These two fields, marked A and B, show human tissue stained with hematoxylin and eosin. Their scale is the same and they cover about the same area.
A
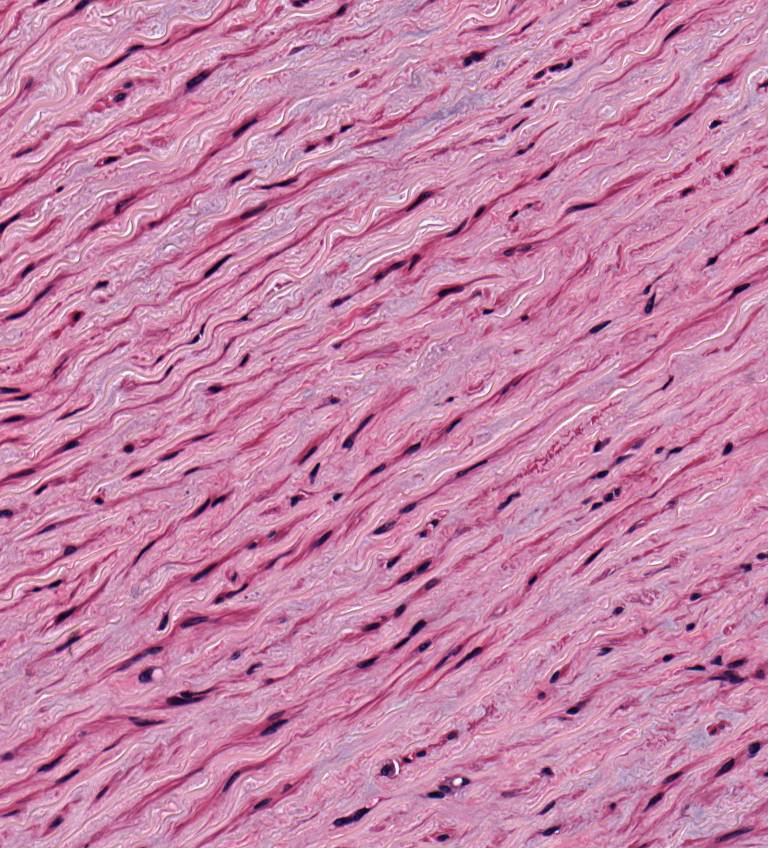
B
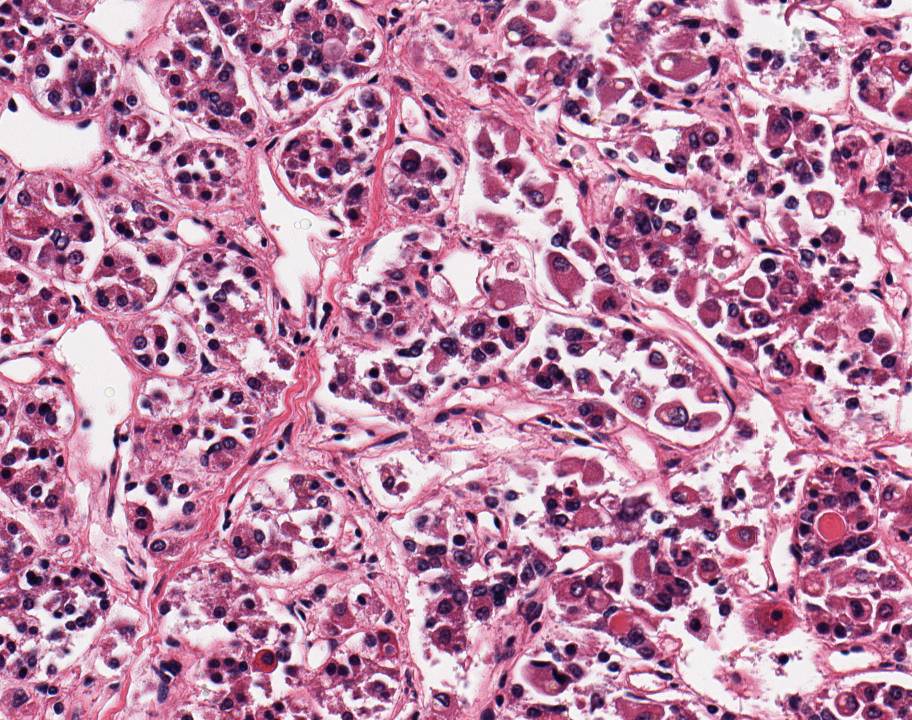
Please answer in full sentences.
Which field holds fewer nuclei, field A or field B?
There are fewer nuclei in field A.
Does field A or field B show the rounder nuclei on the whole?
The nuclei are rounder in field B.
